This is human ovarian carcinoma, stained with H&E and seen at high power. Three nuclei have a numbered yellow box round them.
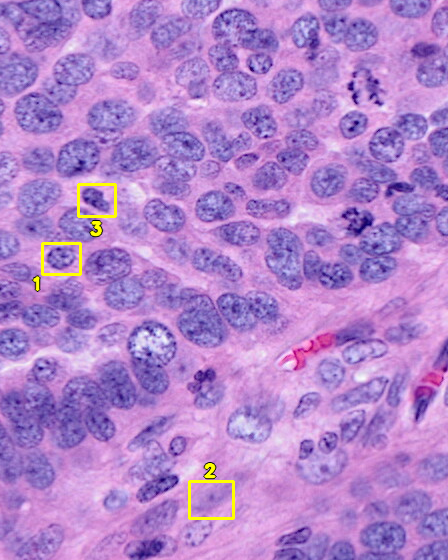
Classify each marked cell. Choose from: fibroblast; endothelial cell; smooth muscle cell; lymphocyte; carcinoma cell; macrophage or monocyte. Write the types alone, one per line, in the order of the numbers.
macrophage or monocyte
fibroblast
macrophage or monocyte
